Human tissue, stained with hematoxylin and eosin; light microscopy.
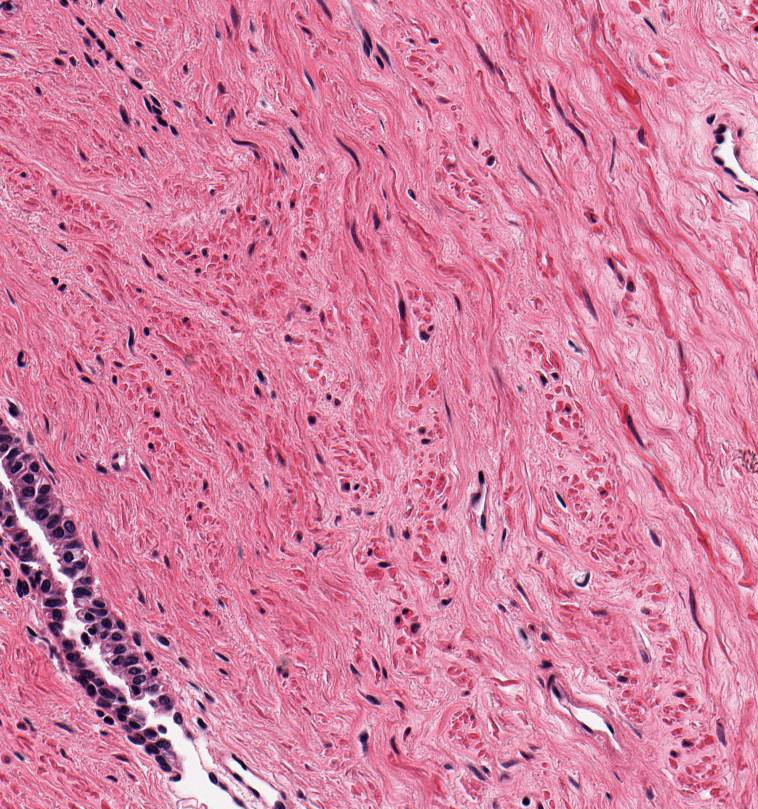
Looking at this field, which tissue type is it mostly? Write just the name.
fibromuscular stroma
